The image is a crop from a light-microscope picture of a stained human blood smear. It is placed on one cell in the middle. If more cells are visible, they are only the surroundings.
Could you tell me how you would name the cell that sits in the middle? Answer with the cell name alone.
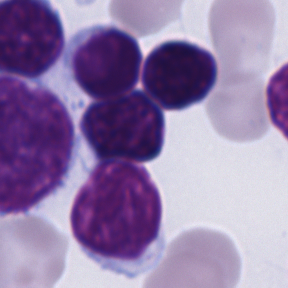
myeloblast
